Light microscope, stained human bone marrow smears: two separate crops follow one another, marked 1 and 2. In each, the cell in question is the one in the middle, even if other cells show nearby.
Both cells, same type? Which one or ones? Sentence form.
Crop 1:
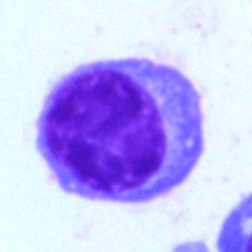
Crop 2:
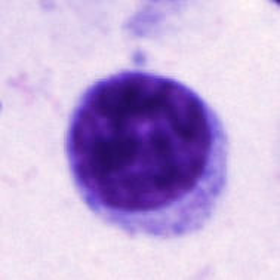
No, crop 1 gives us a plasma cell and crop 2 gives us a lymphocyte.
